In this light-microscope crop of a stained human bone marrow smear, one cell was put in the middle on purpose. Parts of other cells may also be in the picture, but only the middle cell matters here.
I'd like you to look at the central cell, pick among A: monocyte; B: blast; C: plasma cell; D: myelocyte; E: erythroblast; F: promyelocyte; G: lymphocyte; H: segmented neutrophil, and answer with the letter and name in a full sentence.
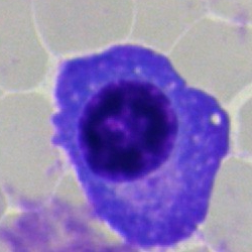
The correct choice is option C, which identifies the middle cell as a plasma cell.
